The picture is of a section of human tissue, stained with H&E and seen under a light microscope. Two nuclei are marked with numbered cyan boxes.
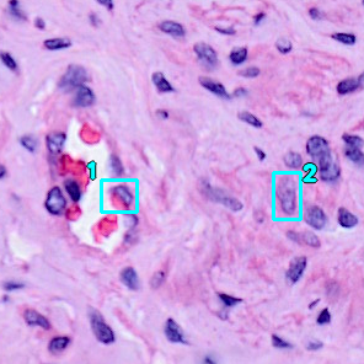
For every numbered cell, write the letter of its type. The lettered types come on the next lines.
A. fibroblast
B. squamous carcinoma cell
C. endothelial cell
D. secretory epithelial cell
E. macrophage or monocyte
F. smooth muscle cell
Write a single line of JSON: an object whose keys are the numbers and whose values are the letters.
{"1": "C", "2": "F"}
